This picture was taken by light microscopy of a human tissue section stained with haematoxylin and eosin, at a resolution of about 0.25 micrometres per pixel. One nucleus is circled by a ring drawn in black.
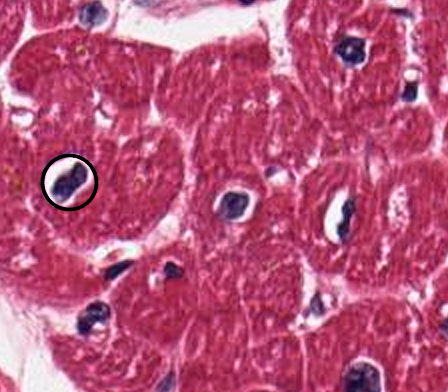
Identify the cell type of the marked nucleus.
cardiomyocyte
